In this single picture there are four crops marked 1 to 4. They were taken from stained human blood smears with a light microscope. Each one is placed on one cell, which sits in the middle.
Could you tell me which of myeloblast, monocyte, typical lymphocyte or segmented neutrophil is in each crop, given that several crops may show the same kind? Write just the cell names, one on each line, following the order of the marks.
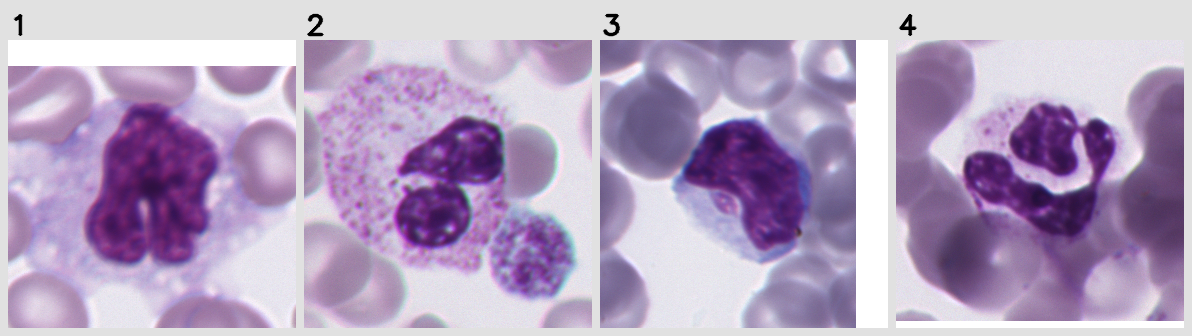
monocyte
segmented neutrophil
typical lymphocyte
segmented neutrophil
